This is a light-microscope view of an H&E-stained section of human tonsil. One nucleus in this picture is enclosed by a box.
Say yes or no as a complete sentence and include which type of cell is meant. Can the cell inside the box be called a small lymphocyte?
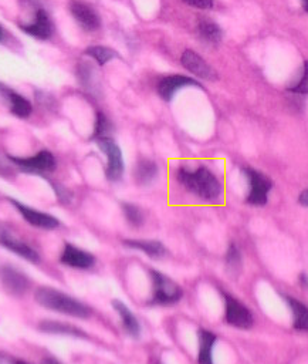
No, rather than a small lymphocyte, the cell inside the box is a squamous epithelial cell.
